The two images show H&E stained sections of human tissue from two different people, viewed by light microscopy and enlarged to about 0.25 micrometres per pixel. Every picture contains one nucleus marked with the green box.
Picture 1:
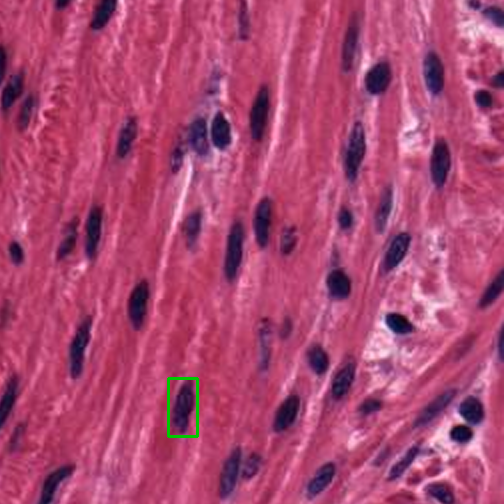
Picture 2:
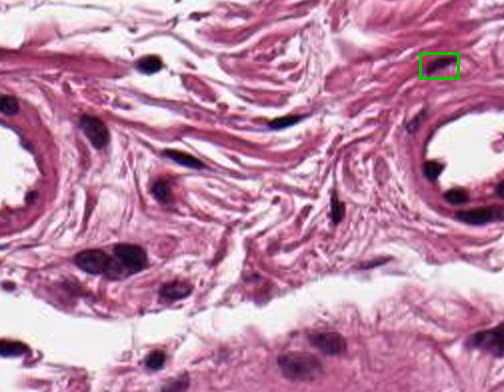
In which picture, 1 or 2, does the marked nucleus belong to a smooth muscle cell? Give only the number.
1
